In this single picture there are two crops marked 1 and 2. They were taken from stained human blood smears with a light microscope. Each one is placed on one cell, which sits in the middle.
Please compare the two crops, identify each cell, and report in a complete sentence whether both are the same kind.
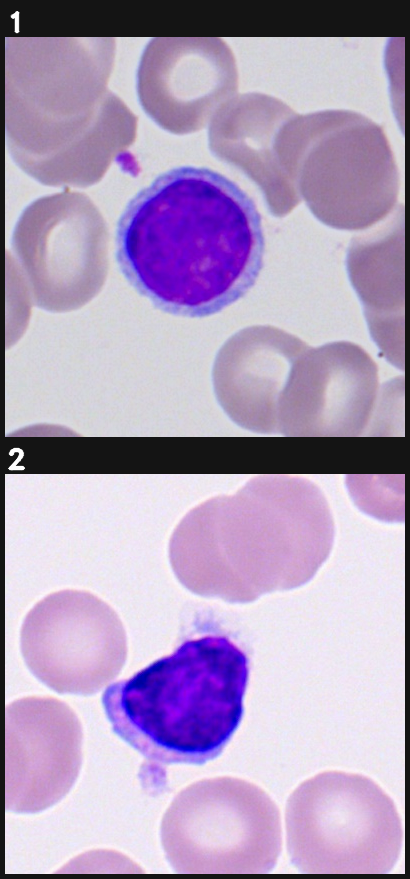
Yes, as for both crops, the cells shown are lymphocytes.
